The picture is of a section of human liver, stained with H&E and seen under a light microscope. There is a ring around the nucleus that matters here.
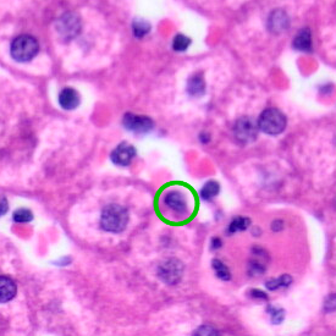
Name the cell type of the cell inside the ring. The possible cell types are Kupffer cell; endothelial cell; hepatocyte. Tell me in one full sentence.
As for its identity, the cell inside the ring is a Kupffer cell.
